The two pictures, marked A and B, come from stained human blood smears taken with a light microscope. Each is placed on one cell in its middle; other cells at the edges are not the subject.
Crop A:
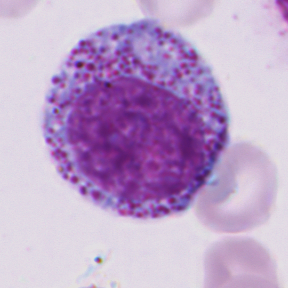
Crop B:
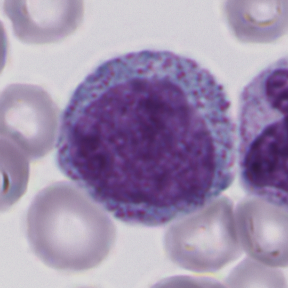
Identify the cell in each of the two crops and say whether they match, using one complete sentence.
Yes, both crops depict promyelocytes at the centre.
